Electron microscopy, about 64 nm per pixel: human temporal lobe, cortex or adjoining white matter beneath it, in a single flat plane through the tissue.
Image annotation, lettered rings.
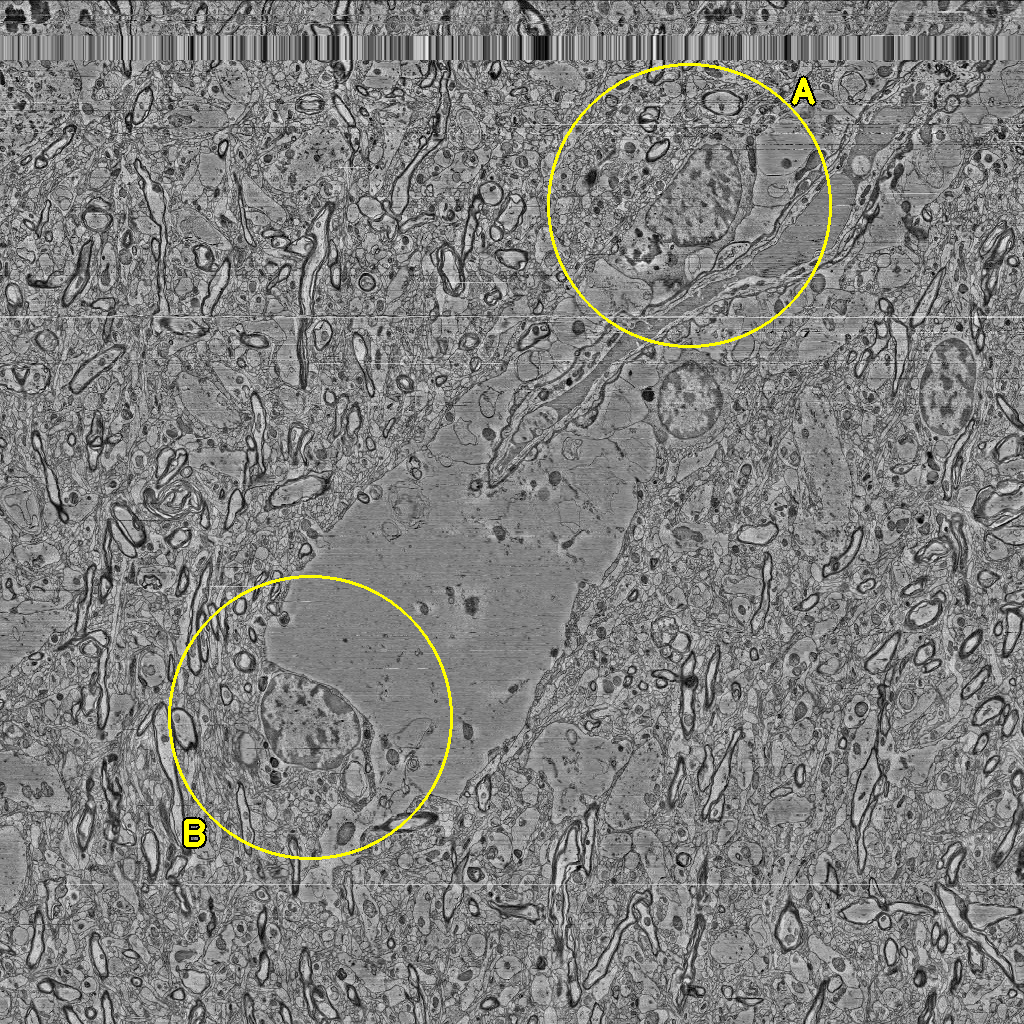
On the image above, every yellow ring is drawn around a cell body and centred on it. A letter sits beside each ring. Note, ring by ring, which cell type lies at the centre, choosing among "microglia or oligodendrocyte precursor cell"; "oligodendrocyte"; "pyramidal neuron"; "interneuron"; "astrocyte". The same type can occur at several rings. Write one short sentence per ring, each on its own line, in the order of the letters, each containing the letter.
Ring A has an oligodendrocyte at its centre.
Ring B has a microglial cell or oligodendrocyte precursor cell at its centre.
